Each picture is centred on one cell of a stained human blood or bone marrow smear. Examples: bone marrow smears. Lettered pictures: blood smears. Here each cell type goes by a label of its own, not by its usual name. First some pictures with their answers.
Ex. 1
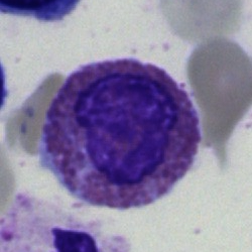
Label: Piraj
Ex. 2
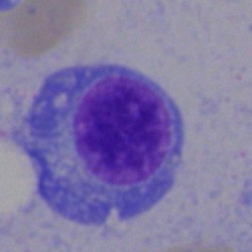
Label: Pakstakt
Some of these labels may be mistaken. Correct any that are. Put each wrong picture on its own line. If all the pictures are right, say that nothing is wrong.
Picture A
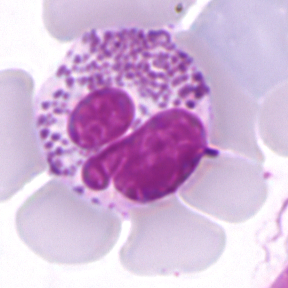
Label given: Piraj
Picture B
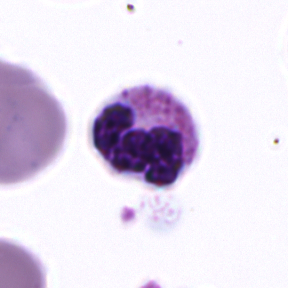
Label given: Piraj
All labels are correct.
